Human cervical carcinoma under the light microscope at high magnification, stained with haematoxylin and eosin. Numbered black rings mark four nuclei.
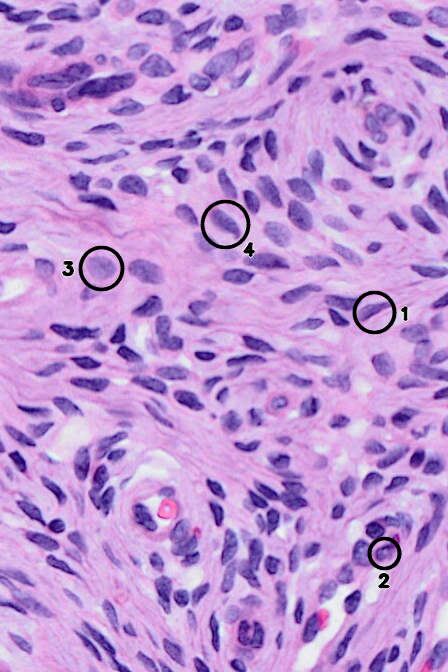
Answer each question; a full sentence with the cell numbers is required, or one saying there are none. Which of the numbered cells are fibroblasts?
Within this tissue, the cells numbered 1, 3 and 4 are fibroblasts.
